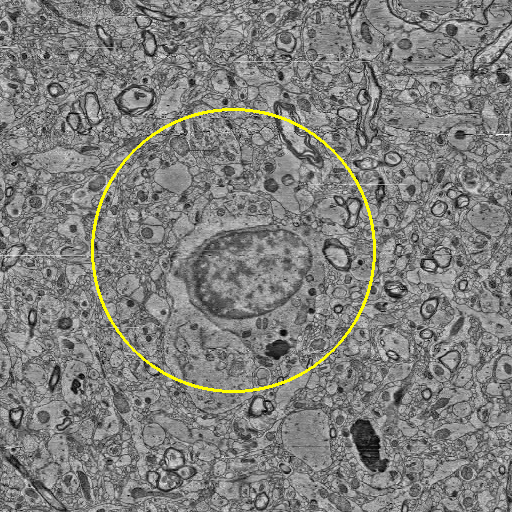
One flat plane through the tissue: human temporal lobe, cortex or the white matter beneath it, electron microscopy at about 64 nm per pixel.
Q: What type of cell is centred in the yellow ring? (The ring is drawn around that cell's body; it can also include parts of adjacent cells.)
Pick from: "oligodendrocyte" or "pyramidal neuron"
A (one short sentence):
The yellow ring is centred on an oligodendrocyte.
